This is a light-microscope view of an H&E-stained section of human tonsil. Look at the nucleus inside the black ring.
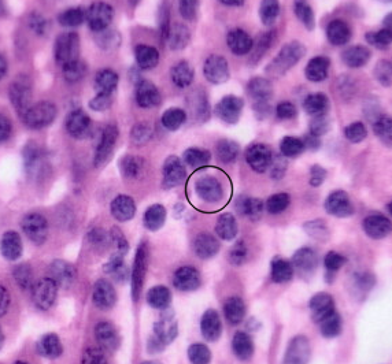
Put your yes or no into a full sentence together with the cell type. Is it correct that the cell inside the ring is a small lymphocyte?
No, the cell inside the ring is scored as a plasma cell and not as a small lymphocyte.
